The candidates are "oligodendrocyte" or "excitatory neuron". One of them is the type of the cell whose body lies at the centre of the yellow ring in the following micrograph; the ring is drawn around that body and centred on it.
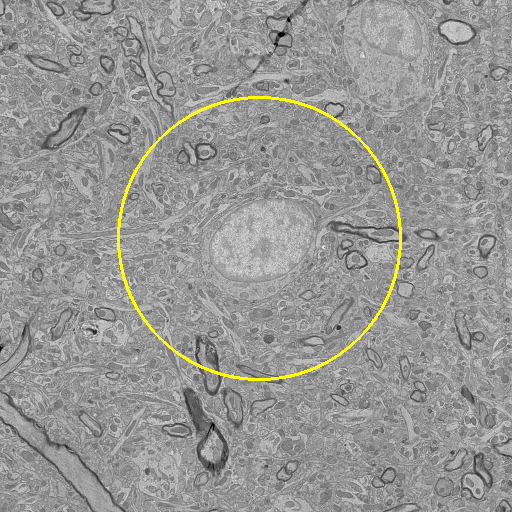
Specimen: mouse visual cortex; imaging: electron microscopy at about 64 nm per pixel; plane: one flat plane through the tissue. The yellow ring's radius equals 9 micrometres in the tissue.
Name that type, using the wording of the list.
oligodendrocyte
